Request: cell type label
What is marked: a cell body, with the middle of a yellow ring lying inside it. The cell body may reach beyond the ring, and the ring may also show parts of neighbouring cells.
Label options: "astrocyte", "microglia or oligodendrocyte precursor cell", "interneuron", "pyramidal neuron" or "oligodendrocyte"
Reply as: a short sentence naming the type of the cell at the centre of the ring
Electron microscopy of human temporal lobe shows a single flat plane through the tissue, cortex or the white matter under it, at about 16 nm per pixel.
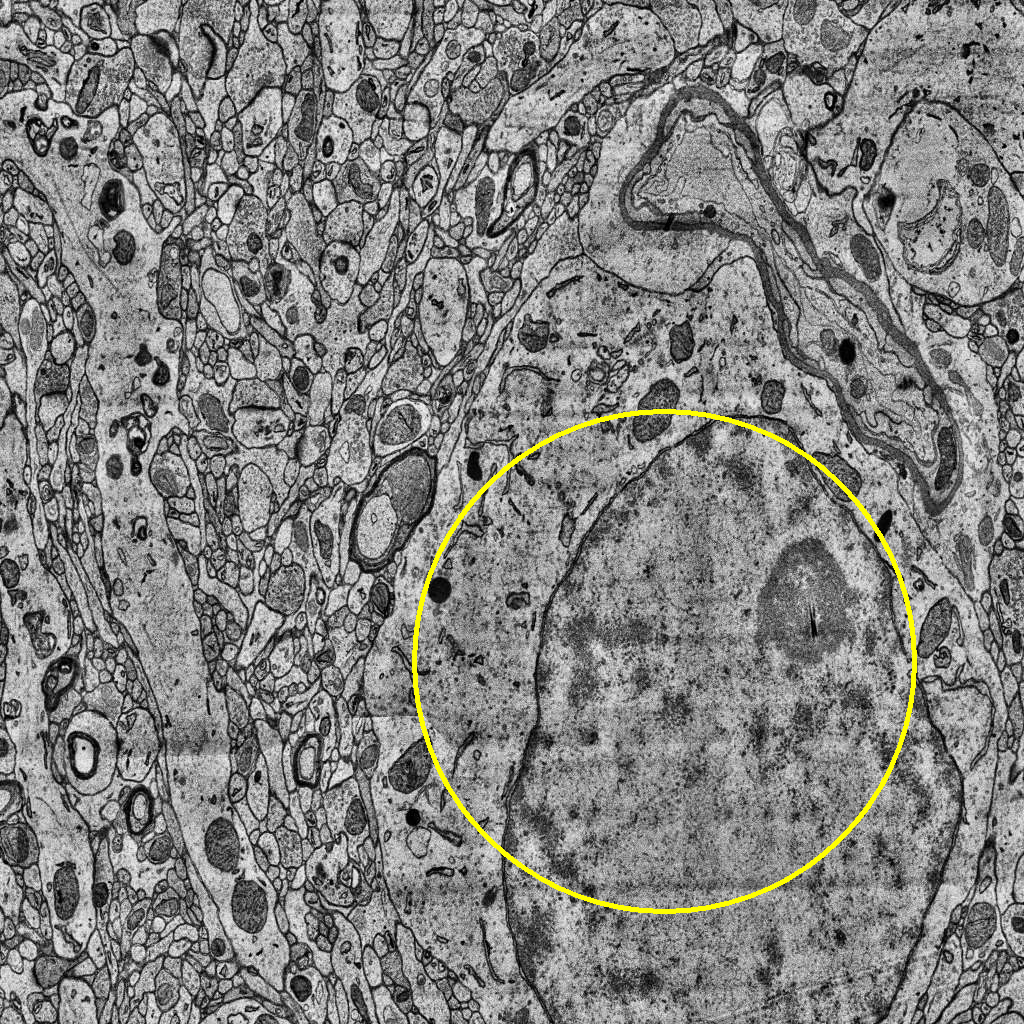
The marked cell body is that of a pyramidal neuron.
